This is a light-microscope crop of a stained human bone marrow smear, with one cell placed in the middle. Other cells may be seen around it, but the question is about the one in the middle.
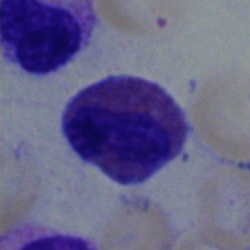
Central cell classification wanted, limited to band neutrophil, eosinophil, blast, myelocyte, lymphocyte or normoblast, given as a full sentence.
Standing at the centre of this crop is an eosinophil.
